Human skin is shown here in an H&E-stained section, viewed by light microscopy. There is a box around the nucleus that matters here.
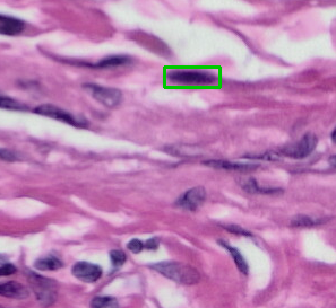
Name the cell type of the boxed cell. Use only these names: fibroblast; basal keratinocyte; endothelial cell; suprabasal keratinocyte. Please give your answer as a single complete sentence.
Histopathologically, the boxed cell is a fibroblast.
